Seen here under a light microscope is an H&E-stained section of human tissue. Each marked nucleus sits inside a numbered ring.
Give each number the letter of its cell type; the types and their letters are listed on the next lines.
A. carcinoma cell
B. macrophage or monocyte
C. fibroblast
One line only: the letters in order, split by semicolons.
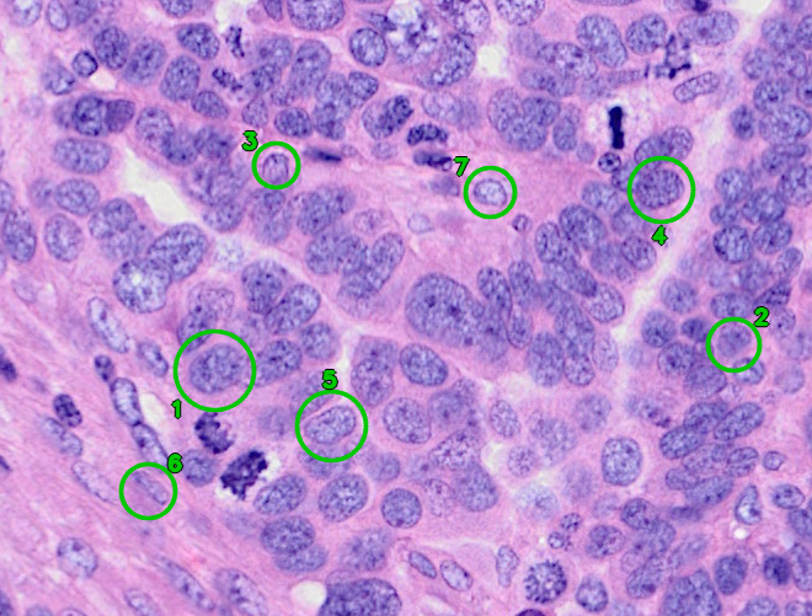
A; A; B; A; A; C; C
